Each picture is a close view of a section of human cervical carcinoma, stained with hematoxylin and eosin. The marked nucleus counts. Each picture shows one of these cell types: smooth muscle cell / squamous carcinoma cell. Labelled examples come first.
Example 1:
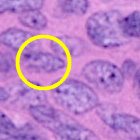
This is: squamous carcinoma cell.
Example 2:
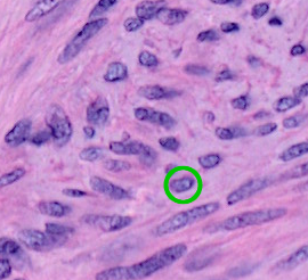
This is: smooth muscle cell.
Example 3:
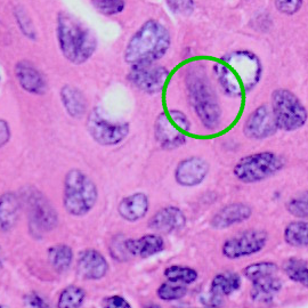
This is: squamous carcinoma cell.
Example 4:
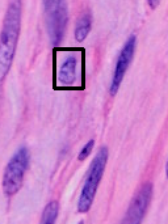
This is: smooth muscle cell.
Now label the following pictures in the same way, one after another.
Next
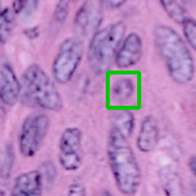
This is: squamous carcinoma cell.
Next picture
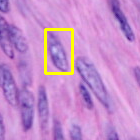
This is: smooth muscle cell.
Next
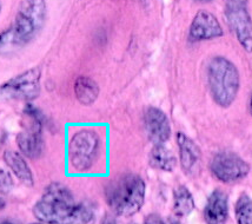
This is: squamous carcinoma cell.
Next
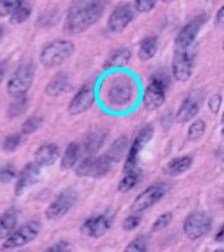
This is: squamous carcinoma cell.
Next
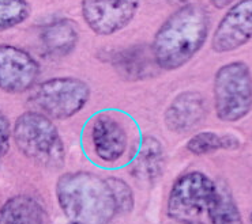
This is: squamous carcinoma cell.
